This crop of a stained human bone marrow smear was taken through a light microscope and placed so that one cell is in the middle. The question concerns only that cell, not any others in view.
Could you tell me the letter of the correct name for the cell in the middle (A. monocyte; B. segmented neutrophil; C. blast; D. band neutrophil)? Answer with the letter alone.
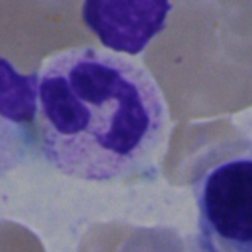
B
